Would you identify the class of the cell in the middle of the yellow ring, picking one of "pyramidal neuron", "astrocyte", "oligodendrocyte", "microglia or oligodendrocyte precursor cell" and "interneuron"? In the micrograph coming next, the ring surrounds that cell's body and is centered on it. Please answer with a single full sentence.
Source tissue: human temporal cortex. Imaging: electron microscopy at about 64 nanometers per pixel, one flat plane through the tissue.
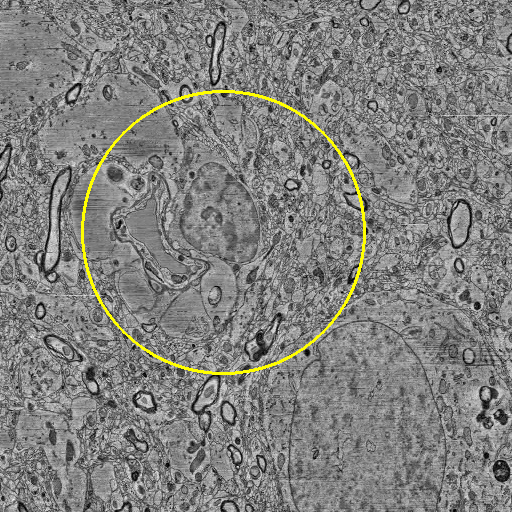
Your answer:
In the micrograph, it is an oligodendrocyte whose body lies at the ring's center.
